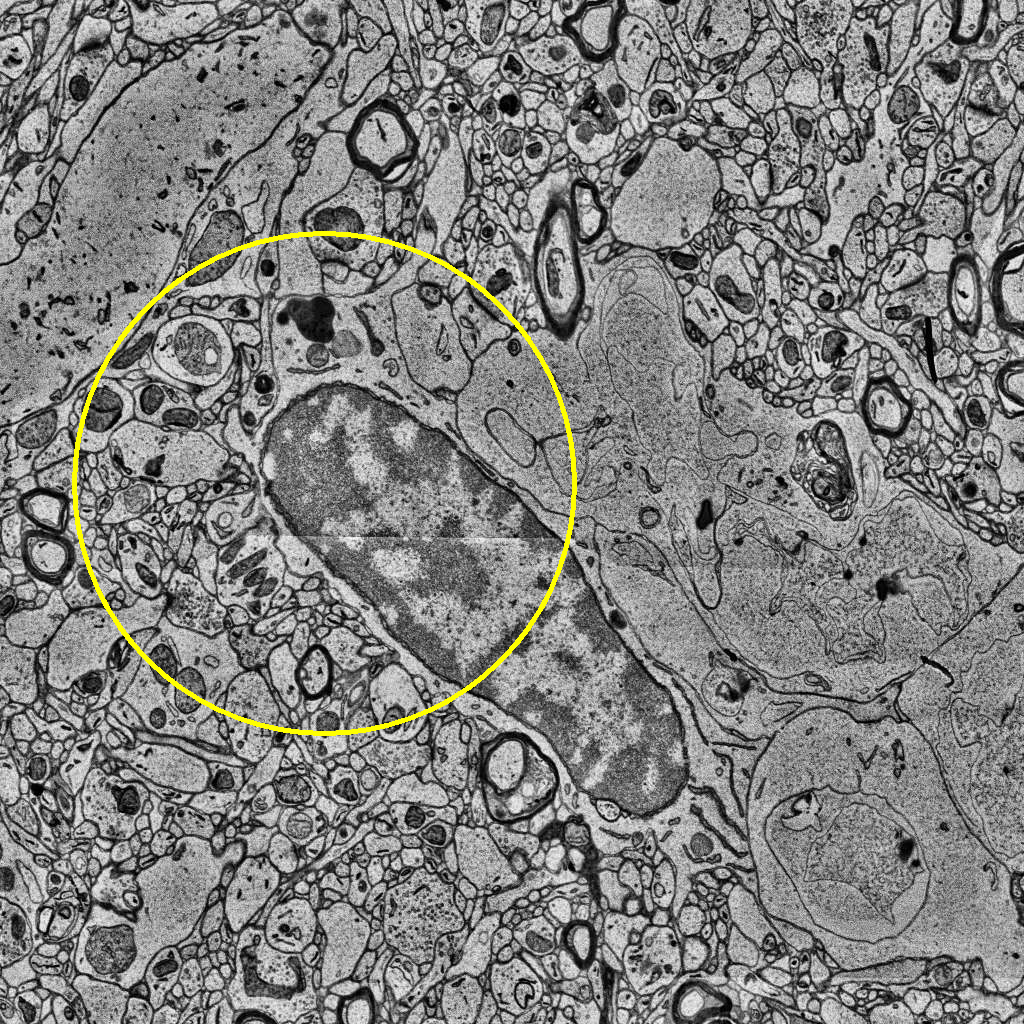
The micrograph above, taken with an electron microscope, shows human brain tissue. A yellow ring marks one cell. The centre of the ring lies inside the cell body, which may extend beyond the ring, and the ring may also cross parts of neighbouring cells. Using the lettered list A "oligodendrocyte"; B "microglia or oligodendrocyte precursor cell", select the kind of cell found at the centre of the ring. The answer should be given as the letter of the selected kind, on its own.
B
